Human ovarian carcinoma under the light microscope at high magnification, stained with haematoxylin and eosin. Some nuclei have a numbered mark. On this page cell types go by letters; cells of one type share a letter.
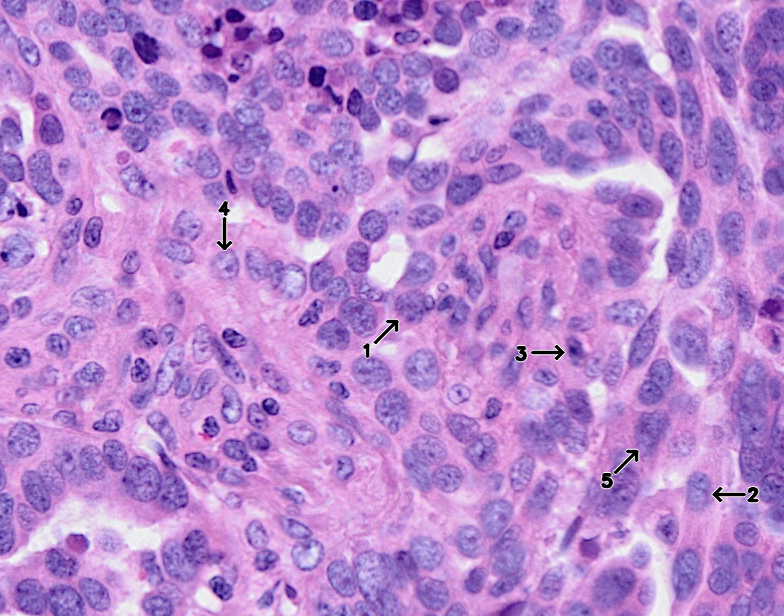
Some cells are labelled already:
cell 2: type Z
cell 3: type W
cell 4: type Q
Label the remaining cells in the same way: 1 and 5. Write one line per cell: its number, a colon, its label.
1: type Z
5: type Z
